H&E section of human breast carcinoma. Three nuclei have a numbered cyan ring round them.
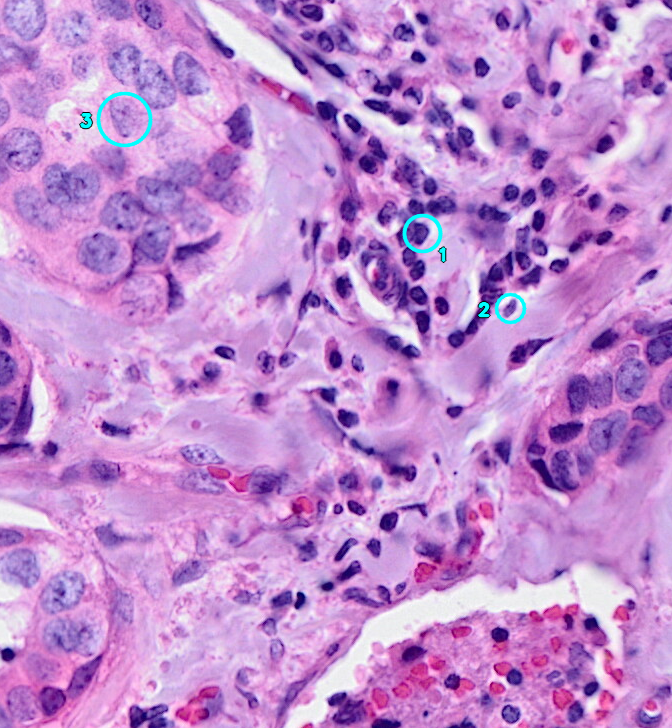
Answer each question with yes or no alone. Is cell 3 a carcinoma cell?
yes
